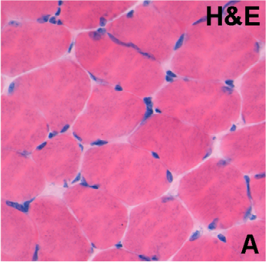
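This is skeletal muscle cut across, showing many muscle fibers with their nuclei. The fibers are polygonal, closely packed profiles filled with evenly pink cytoplasm, separated by thin pale seams of connective tissue. Their nuclei are small, dark purple and flattened or oval, and they lie at the edges of the fibers, pressed against the surface, rather than in the centres. The fibers are of broadly similar size. A few nuclei sit in the narrow spaces between fibers. No clusters of inflammatory cells or fibers with central nuclei are seen, and the tissue has an orderly, regular mosaic pattern.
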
